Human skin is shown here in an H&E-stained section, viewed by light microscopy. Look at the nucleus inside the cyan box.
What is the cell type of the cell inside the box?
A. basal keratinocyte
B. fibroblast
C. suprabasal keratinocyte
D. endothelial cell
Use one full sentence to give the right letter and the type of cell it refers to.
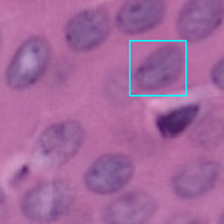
Answer with option C; the cell inside the box is a suprabasal keratinocyte.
